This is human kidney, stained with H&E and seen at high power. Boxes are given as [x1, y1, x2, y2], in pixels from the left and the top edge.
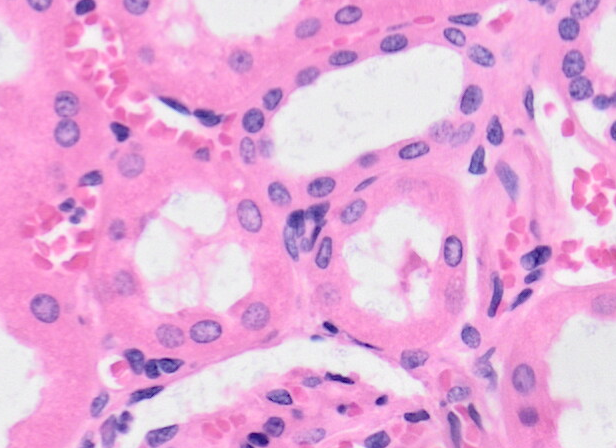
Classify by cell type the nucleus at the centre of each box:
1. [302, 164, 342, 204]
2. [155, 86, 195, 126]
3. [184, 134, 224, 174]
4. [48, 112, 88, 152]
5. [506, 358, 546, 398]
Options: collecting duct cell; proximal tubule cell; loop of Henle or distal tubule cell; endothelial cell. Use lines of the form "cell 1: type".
cell 1: collecting duct cell
cell 2: endothelial cell
cell 3: endothelial cell
cell 4: proximal tubule cell
cell 5: proximal tubule cell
